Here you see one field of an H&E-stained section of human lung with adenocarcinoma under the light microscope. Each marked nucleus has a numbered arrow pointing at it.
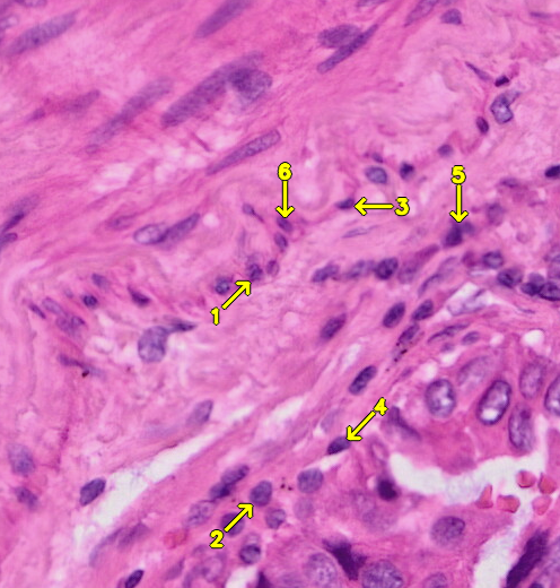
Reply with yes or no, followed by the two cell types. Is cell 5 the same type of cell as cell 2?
No, that's off: cell 5 is a plasma cell and cell 2 is a lymphocyte.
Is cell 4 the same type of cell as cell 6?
No, cell 6 is a smooth muscle cell or pericyte, whereas cell 4 is a lymphocyte.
